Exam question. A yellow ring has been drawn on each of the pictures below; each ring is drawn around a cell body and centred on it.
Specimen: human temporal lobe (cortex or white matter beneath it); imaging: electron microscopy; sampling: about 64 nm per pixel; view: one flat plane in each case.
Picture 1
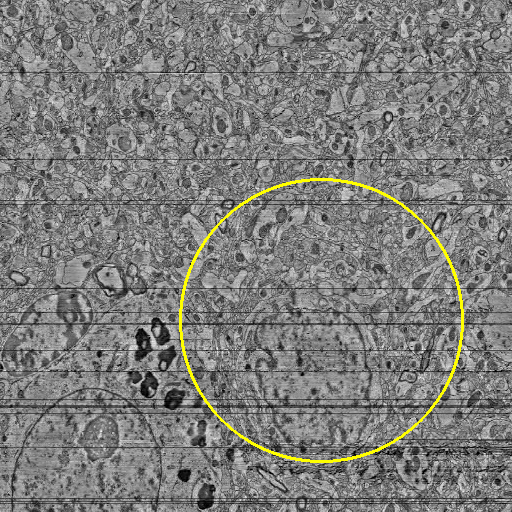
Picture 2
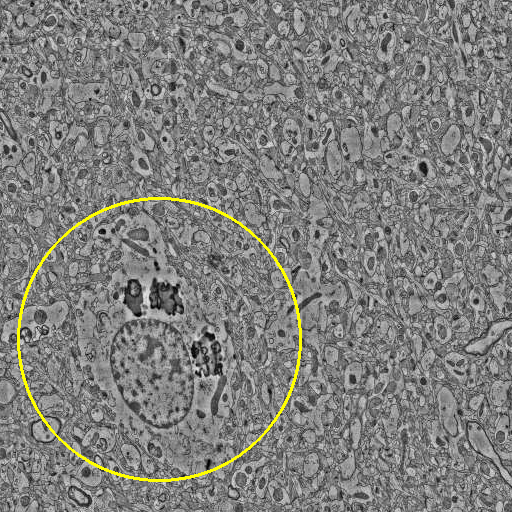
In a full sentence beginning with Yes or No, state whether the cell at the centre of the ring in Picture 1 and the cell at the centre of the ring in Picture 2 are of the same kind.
No, the cells are of two kinds.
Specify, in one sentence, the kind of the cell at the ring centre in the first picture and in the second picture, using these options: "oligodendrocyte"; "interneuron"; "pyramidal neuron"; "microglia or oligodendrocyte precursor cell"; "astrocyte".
So the first is an interneuron, the second an astrocyte.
